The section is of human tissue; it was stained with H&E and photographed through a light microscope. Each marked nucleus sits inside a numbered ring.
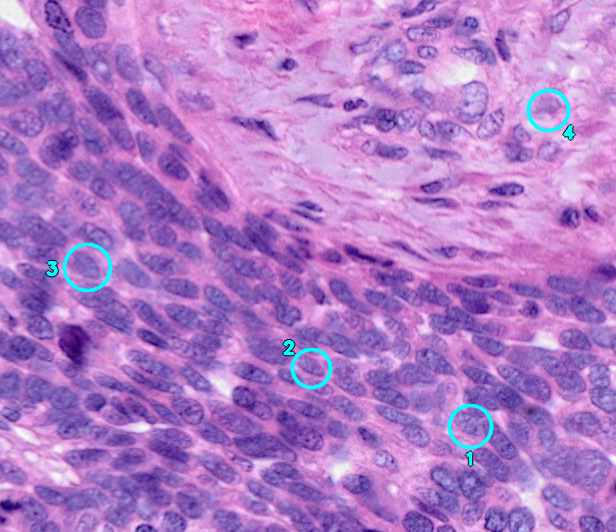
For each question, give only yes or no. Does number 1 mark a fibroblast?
no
